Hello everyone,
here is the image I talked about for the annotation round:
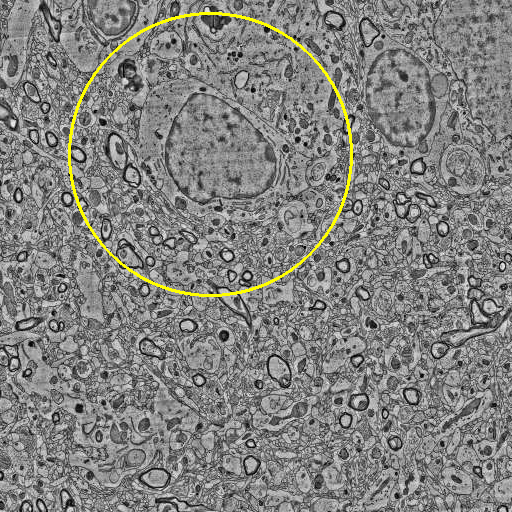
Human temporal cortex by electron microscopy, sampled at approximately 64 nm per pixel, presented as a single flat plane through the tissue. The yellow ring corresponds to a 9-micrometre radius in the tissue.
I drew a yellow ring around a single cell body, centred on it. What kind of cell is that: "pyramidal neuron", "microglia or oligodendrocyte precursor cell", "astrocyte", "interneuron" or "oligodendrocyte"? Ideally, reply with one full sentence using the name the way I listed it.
The cell your yellow ring is centred on is a microglial cell or oligodendrocyte precursor cell, going by your list.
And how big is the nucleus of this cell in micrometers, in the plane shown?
The ringed cell's nucleus measures approximately 8 by 6 micrometres in this plane.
